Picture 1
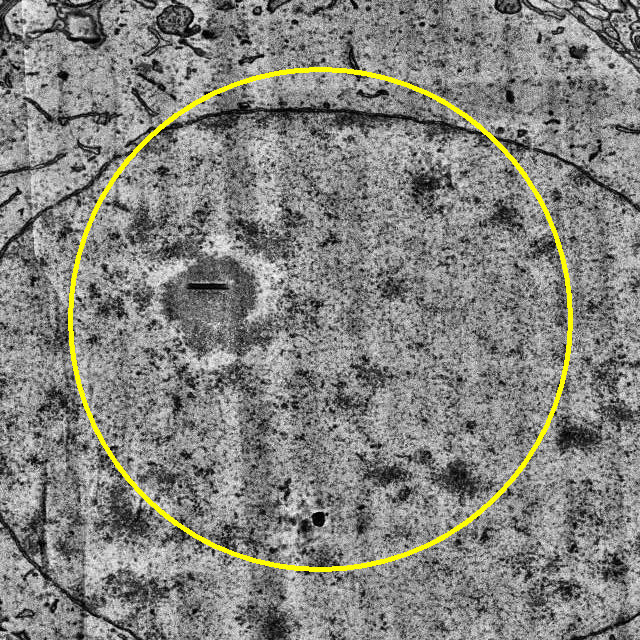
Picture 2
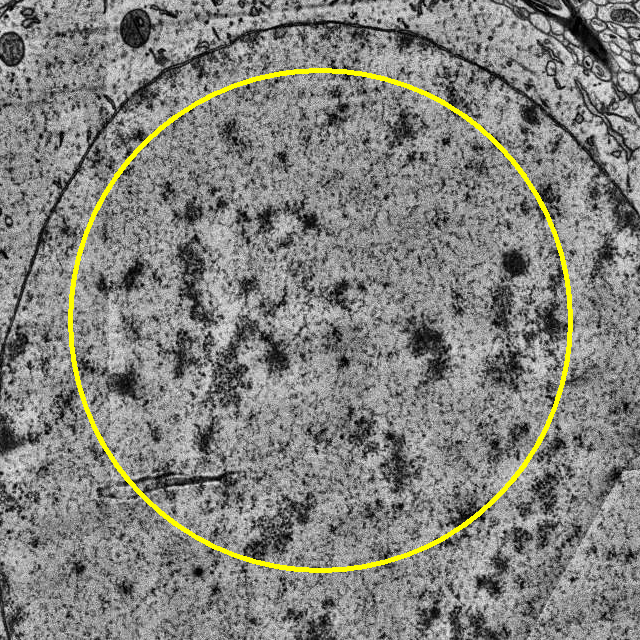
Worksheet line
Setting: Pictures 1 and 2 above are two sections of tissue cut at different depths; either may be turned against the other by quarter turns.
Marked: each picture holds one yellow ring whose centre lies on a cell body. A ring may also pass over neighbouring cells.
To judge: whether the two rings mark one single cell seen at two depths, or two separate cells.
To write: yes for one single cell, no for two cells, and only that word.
no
